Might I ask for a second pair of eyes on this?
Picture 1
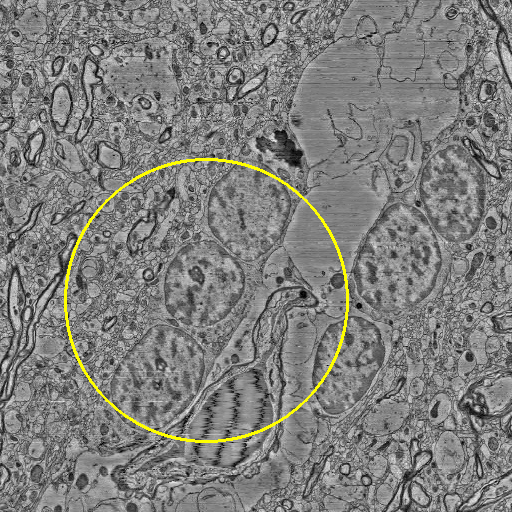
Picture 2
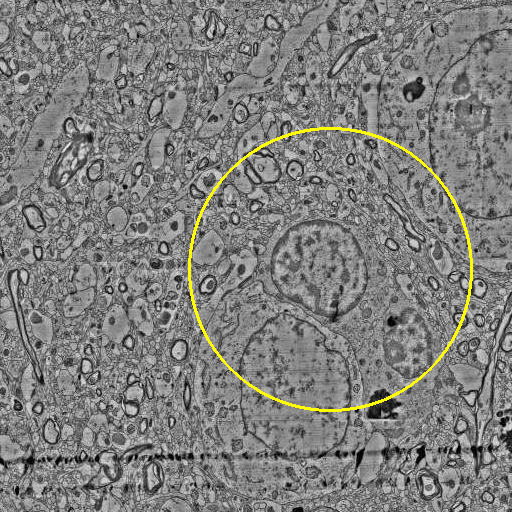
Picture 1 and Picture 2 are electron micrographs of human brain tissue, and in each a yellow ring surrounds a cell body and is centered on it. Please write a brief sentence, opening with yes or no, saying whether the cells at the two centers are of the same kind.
Yes, the cells are of the same kind.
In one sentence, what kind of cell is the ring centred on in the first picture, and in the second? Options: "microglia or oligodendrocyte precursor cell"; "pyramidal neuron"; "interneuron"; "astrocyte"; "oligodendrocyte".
Both the first and the second picture show an oligodendrocyte in the ring.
